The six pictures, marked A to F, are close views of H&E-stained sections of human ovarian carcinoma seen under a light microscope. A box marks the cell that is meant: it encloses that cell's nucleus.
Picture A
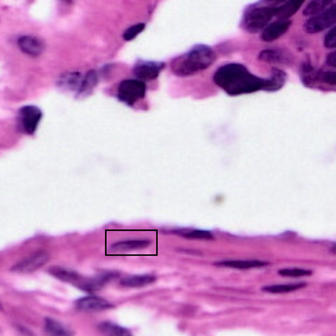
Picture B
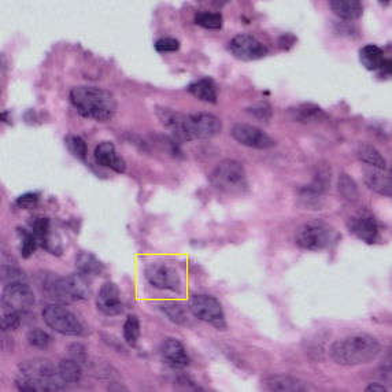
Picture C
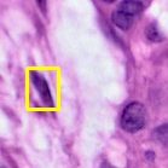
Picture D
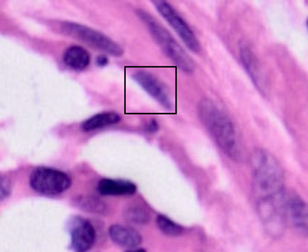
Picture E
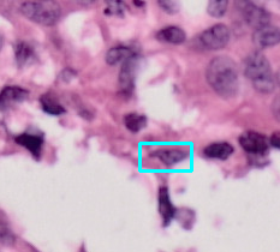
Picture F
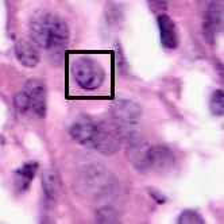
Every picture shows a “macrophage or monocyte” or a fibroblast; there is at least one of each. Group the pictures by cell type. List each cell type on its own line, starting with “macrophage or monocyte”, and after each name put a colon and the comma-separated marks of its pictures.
macrophage or monocyte: B, E, F
fibroblast: A, C, D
